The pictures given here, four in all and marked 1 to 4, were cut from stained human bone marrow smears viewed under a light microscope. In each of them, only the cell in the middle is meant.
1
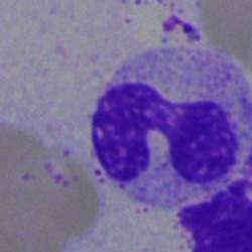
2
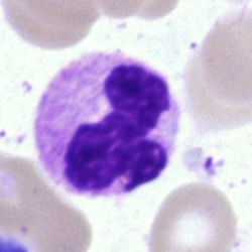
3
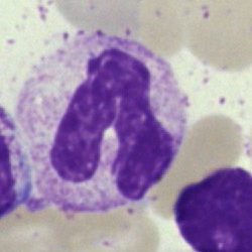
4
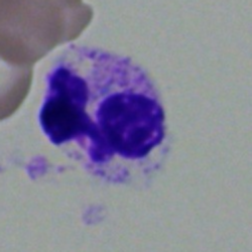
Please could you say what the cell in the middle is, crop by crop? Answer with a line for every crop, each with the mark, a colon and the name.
1: band neutrophil
2: segmented neutrophil
3: band neutrophil
4: segmented neutrophil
